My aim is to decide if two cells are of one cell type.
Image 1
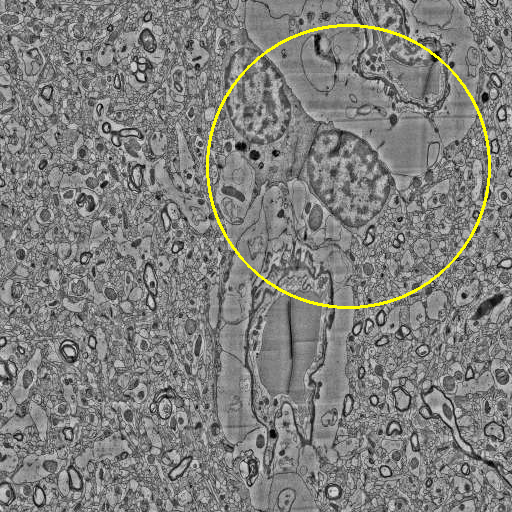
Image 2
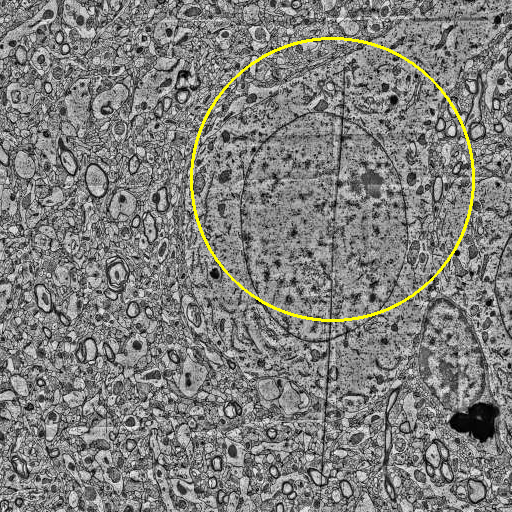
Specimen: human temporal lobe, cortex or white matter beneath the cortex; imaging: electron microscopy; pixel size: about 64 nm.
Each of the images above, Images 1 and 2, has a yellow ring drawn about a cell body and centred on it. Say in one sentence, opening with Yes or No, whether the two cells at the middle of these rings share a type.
No, in Images 1 and 2 the cells at the middle of the rings fall into two types.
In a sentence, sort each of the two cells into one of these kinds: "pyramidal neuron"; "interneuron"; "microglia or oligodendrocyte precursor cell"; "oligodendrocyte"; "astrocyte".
The first of the two cells is an oligodendrocyte, and the second is a pyramidal neuron.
